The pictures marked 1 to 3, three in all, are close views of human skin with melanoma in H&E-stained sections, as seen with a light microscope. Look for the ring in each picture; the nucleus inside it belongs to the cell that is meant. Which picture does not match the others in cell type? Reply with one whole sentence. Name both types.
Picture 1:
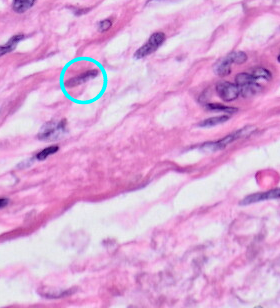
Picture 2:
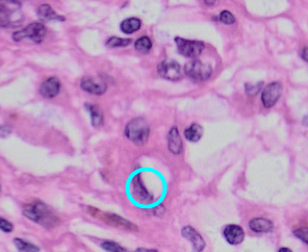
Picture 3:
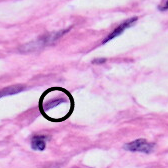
All pictures except 2 show “fibroblasts or myofibroblasts”; picture 2 shows an endothelial cell.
